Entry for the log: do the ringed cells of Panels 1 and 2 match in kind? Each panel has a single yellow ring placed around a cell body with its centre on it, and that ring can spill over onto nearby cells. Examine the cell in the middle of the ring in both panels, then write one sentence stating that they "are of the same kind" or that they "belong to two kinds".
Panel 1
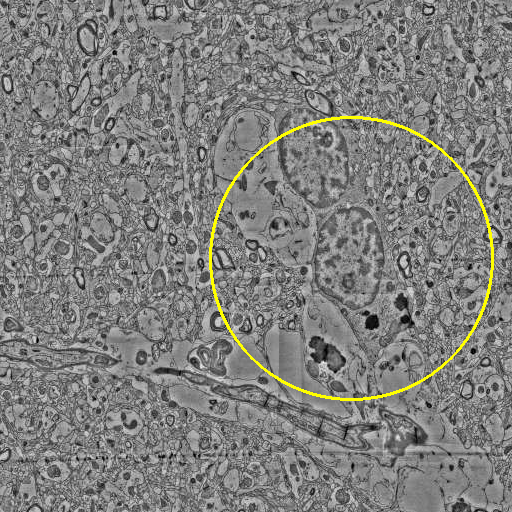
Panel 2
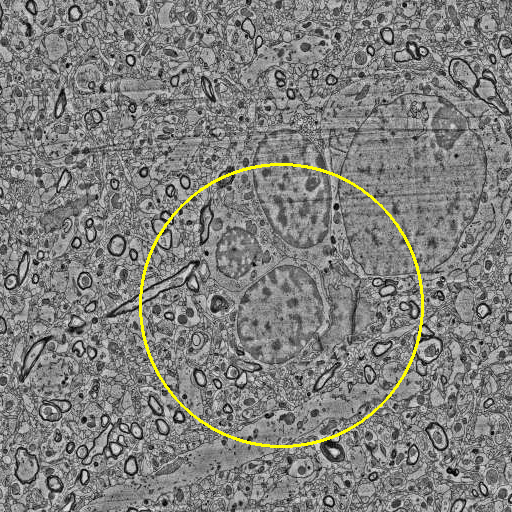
The centre cell of Panel 1's ring and that of Panel 2's ring are of the same kind.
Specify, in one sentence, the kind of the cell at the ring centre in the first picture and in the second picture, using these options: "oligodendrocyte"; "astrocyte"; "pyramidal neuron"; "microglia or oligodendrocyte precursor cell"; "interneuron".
Each of the two cells is an oligodendrocyte.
